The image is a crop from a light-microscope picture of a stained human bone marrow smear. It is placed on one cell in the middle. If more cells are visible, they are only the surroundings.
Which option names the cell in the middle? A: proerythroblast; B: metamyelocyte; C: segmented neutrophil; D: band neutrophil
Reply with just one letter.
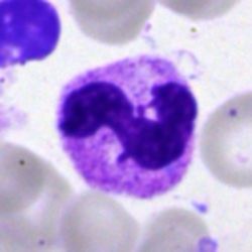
D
